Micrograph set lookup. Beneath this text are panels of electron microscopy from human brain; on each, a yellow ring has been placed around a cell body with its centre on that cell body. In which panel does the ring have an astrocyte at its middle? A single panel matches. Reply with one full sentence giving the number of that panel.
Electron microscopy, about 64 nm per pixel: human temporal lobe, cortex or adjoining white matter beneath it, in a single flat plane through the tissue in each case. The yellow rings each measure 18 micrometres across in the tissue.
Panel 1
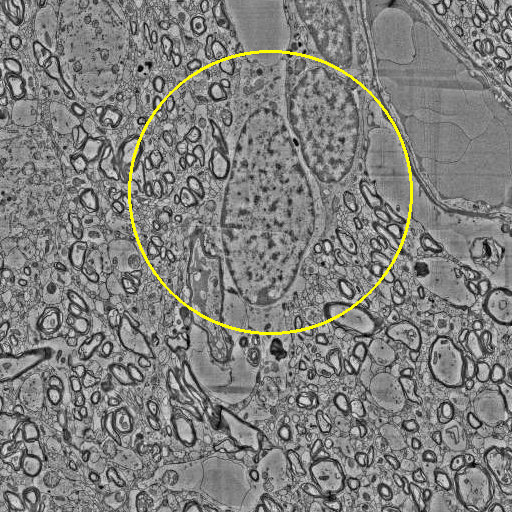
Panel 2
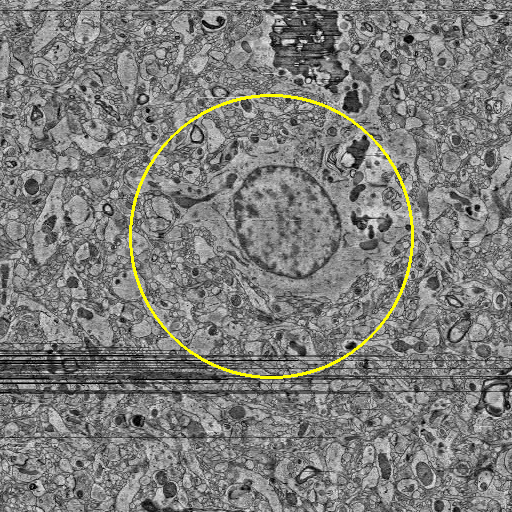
Panel 2 is the one whose ring has the sought cell at its centre.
